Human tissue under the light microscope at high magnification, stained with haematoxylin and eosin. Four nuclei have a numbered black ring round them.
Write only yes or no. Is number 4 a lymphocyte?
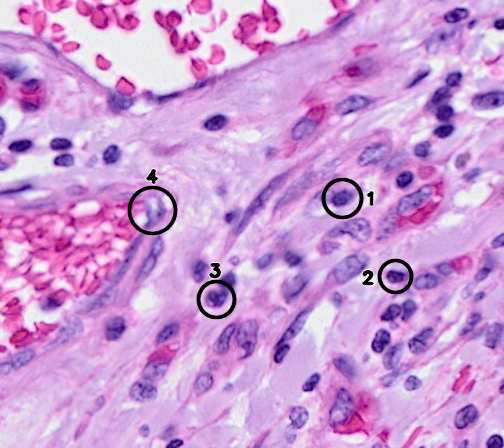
no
